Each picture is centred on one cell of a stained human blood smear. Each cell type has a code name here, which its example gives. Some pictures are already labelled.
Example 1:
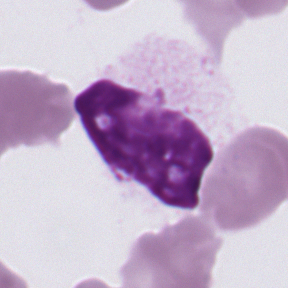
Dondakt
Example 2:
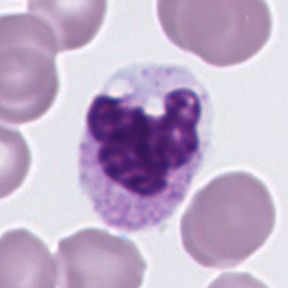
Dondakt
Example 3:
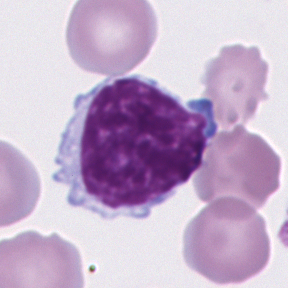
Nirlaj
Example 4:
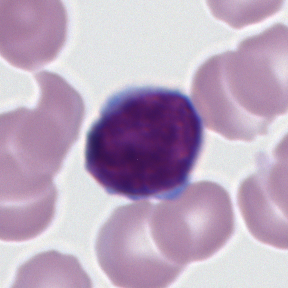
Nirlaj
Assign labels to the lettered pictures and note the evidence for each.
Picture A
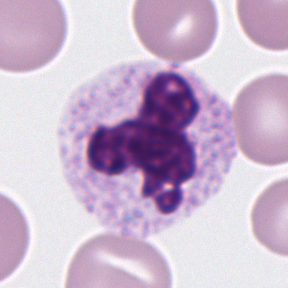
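Label: Dondakt. A small lobe at the lower end of the nucleus is joined to the rest by a narrow strand.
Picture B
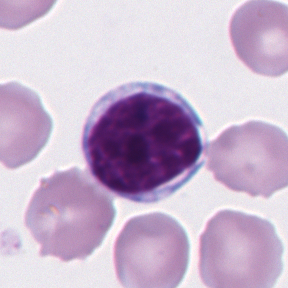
Label: Nirlaj. The cytoplasm forms only a thin rim around the nucleus.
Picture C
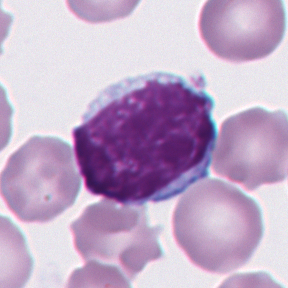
Label: Nirlaj. The cytoplasm forms only a thin rim around the nucleus.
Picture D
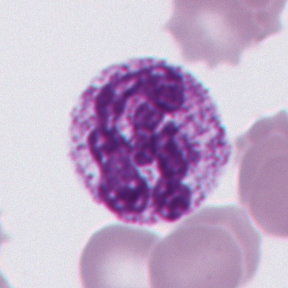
Label: Dondakt. Granules fill the cytoplasm all around the nucleus.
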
